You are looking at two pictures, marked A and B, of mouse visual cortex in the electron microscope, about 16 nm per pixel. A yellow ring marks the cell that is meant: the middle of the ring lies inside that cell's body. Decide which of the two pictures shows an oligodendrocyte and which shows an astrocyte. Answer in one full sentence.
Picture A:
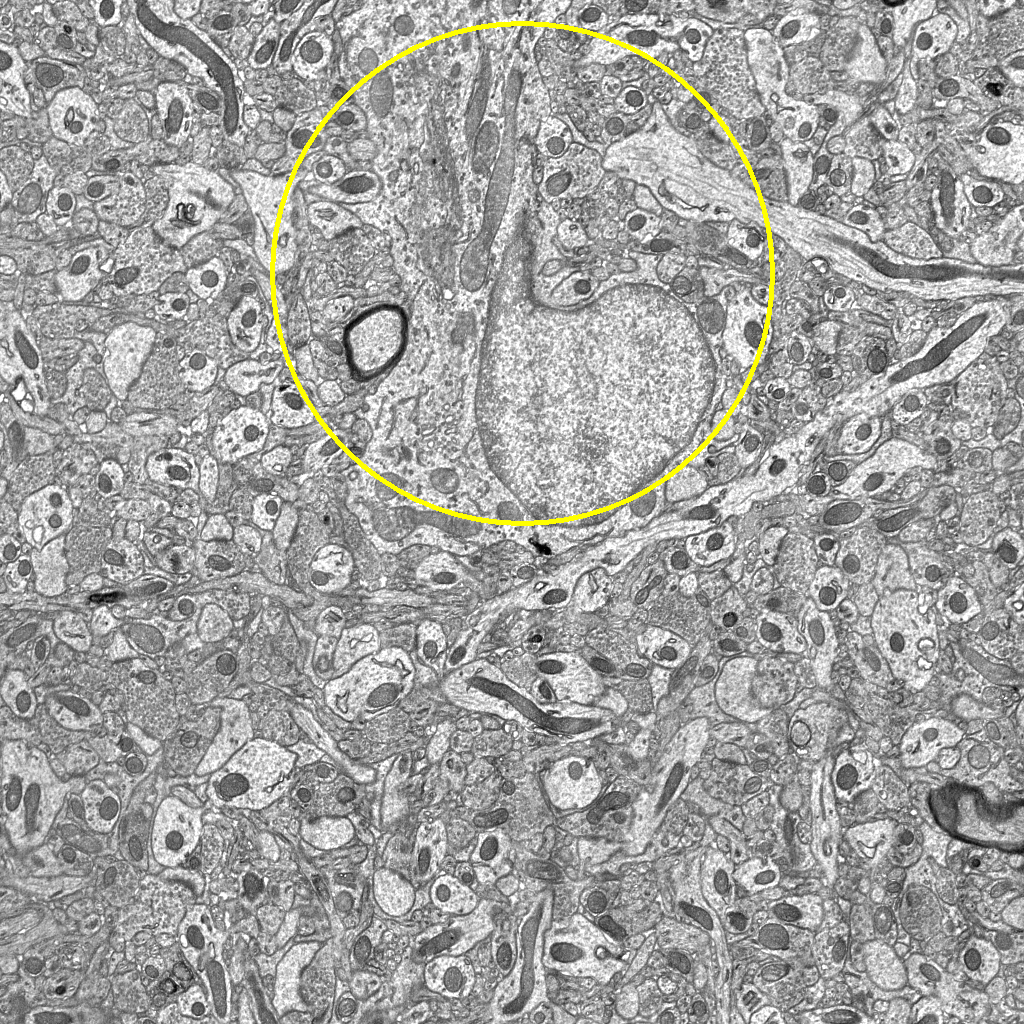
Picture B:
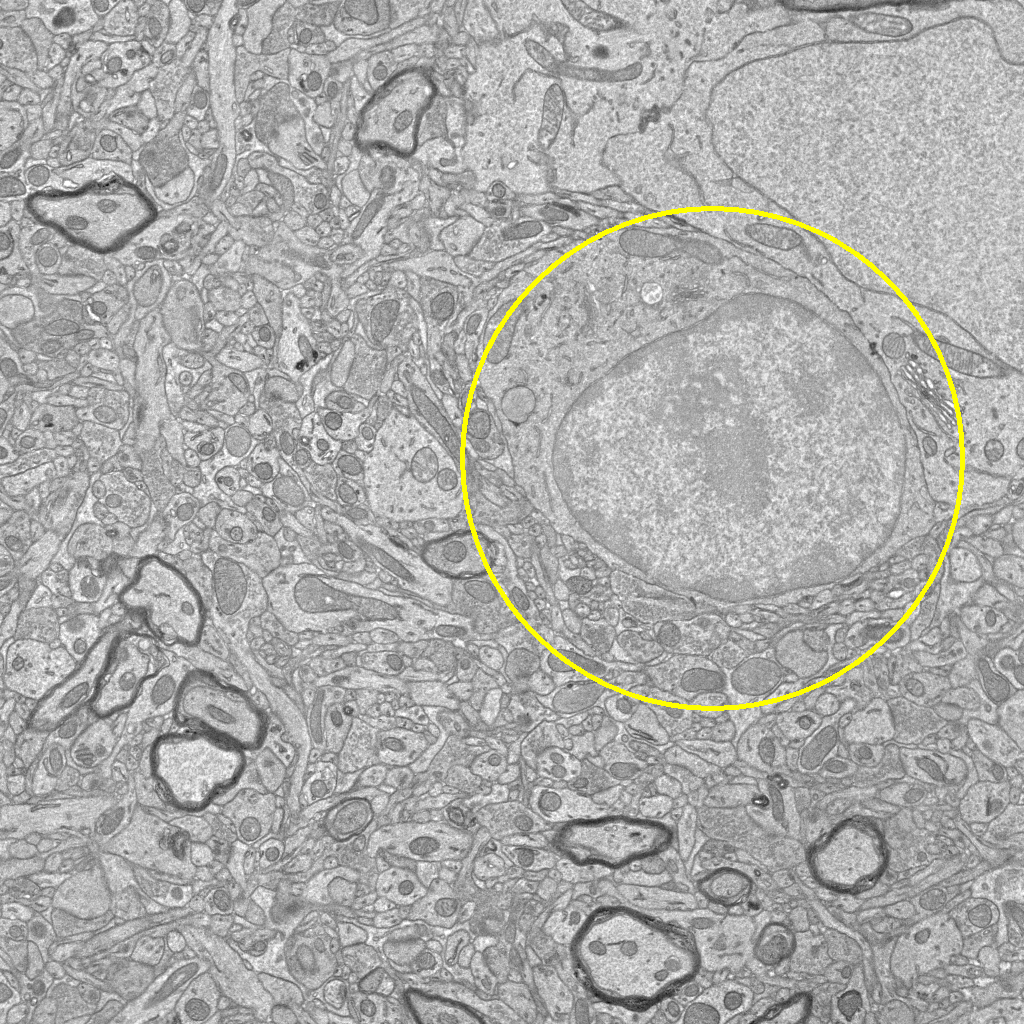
In picture A the cell is an astrocyte; in picture B, an oligodendrocyte.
